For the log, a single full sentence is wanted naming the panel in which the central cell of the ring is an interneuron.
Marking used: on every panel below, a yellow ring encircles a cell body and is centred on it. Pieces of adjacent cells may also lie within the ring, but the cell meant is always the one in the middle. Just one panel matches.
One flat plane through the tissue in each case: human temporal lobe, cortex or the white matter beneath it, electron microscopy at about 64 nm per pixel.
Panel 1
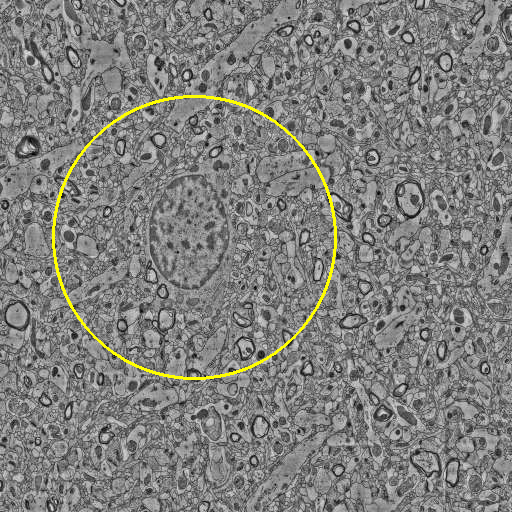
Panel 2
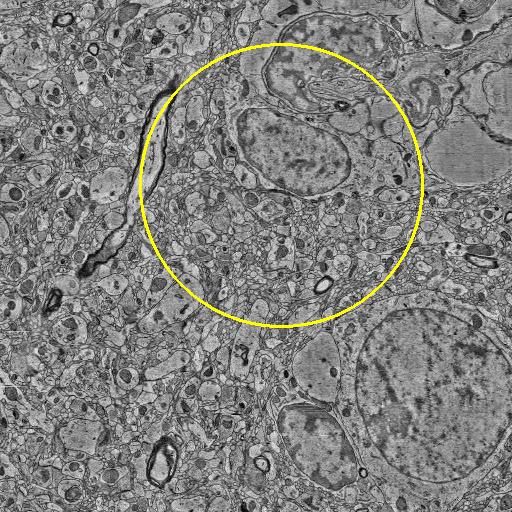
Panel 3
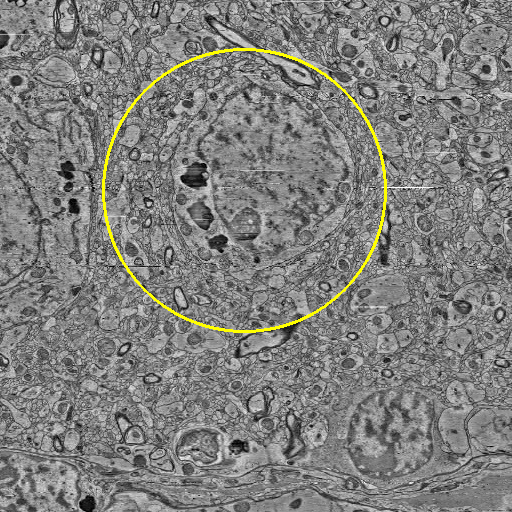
The cell in the middle of the ring in panel 3 is the one asked for.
